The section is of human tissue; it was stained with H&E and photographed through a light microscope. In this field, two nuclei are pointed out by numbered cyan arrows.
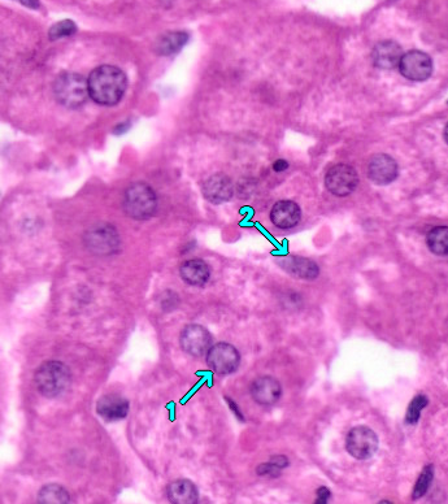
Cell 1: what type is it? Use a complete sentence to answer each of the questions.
Identified by the number 1, the cell is a hepatocyte.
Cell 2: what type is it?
It is as a Kupffer cell that the cell numbered 2 is identified.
